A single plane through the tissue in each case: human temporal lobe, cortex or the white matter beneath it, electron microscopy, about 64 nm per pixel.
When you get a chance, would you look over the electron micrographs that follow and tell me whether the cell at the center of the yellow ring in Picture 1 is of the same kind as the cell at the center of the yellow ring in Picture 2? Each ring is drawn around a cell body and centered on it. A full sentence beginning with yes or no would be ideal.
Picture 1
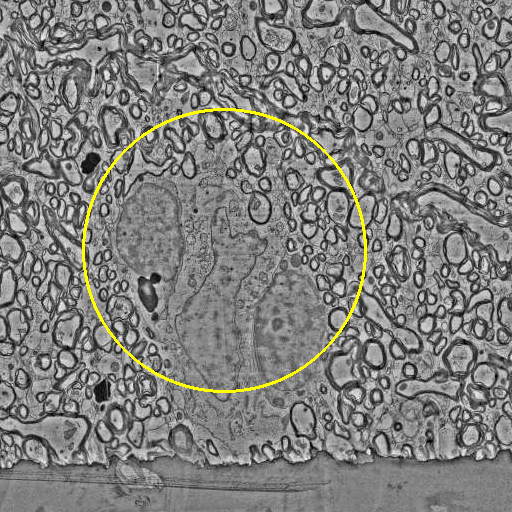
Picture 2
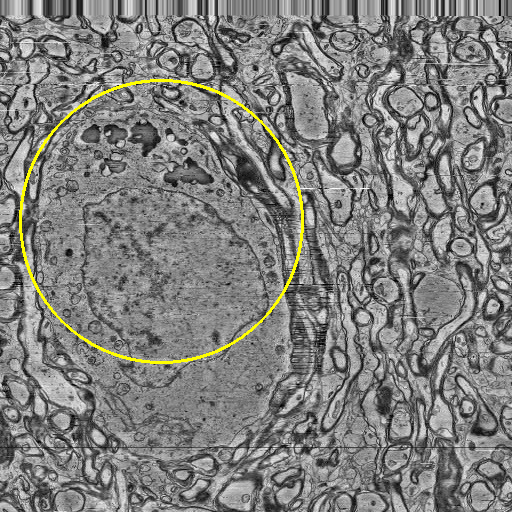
Yes, the two cells are of the same kind.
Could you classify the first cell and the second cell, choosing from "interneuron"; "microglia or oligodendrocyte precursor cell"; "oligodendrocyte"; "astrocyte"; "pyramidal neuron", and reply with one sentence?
Both cells are the same kind, each one being a pyramidal neuron.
